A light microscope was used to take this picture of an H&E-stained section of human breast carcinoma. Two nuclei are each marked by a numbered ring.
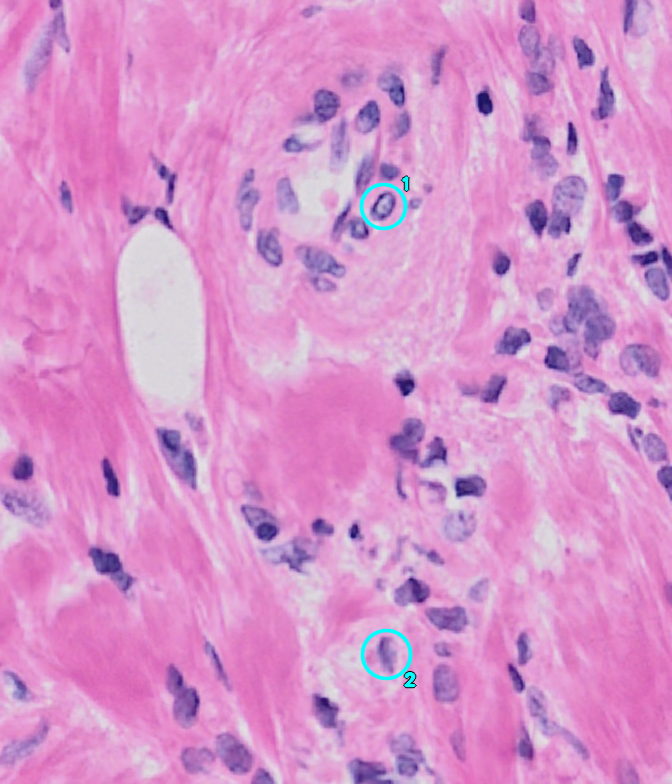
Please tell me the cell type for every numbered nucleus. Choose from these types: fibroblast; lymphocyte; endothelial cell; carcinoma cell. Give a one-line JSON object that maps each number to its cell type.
{"1": "endothelial cell", "2": "fibroblast"}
